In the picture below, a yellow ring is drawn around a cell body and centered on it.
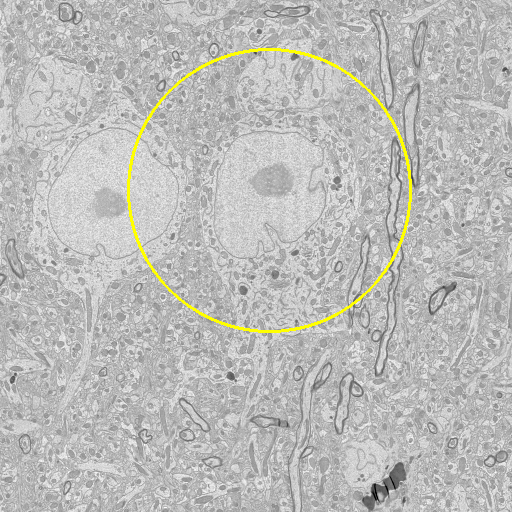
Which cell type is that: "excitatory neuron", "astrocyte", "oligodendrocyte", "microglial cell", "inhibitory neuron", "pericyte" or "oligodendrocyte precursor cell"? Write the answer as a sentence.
The cell centered in the ring is an inhibitory neuron.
